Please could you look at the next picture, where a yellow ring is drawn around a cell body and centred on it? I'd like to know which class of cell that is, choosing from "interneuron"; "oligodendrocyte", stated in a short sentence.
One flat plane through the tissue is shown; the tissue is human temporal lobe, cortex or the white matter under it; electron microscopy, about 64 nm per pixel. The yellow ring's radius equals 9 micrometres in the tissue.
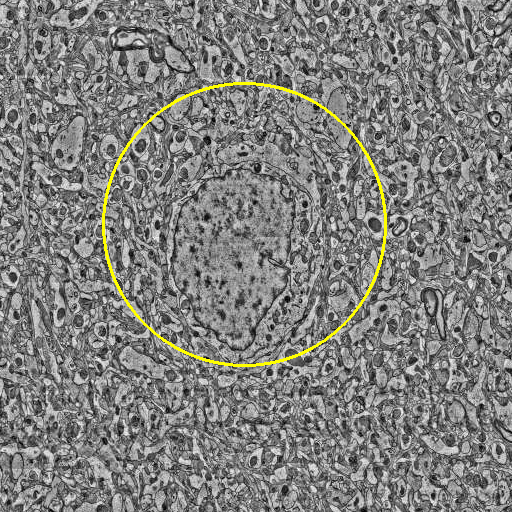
The ring's centre lies on an interneuron.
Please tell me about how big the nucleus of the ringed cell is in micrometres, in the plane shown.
Approximately 11 x 8 micrometres in this plane.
